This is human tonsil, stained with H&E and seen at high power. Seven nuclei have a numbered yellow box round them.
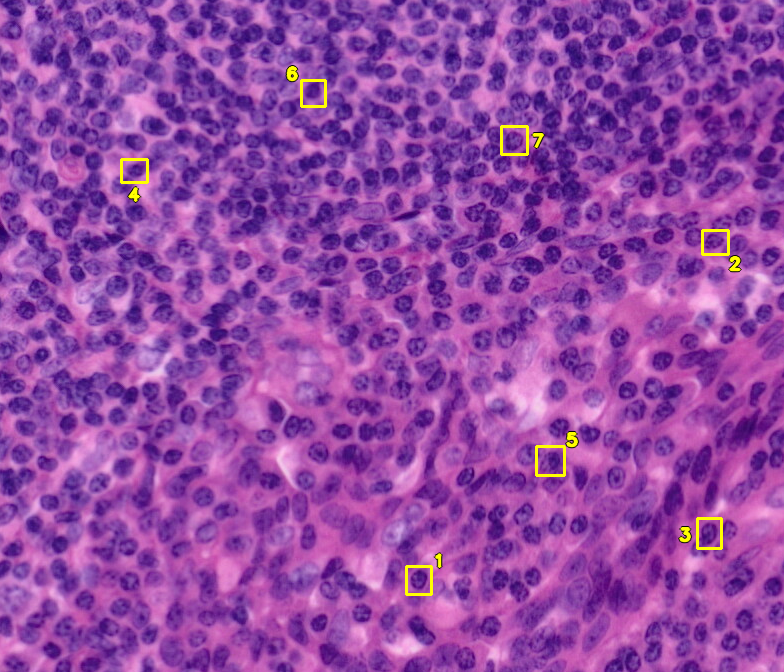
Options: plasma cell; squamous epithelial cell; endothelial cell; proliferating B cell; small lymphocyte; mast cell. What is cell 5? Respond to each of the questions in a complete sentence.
Here the cell numbered 5 is a plasma cell.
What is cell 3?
The cell identified by the number 3 is a plasma cell.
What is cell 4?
At number 4, the marked cell is a small lymphocyte.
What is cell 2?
The numbered cell 2 is identified here as a plasma cell.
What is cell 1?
The cell referenced by the number 1 is a plasma cell in this field.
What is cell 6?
The cell assigned the number 6 is a small lymphocyte.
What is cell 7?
That cell with number 7 is a small lymphocyte.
